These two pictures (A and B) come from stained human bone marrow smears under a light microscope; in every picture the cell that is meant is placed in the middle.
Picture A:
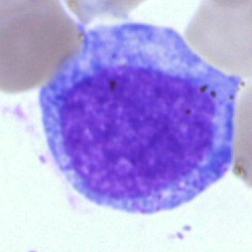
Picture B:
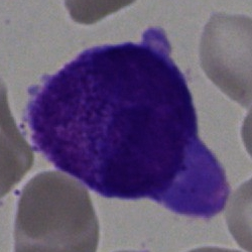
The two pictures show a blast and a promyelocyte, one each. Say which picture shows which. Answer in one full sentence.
It is picture A that shows a promyelocyte, and picture B that shows a blast.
